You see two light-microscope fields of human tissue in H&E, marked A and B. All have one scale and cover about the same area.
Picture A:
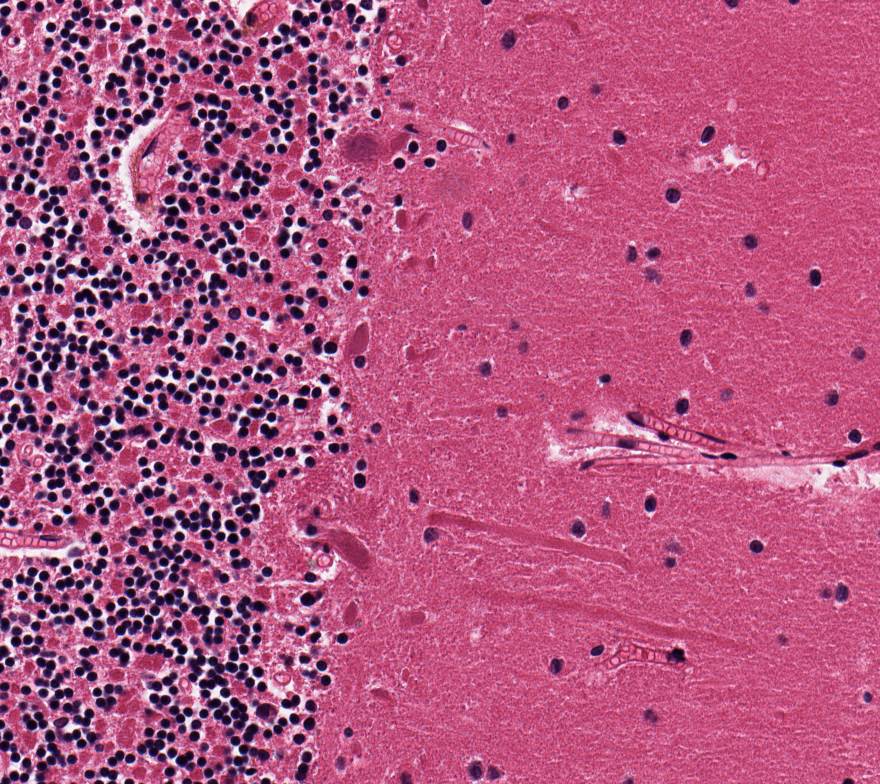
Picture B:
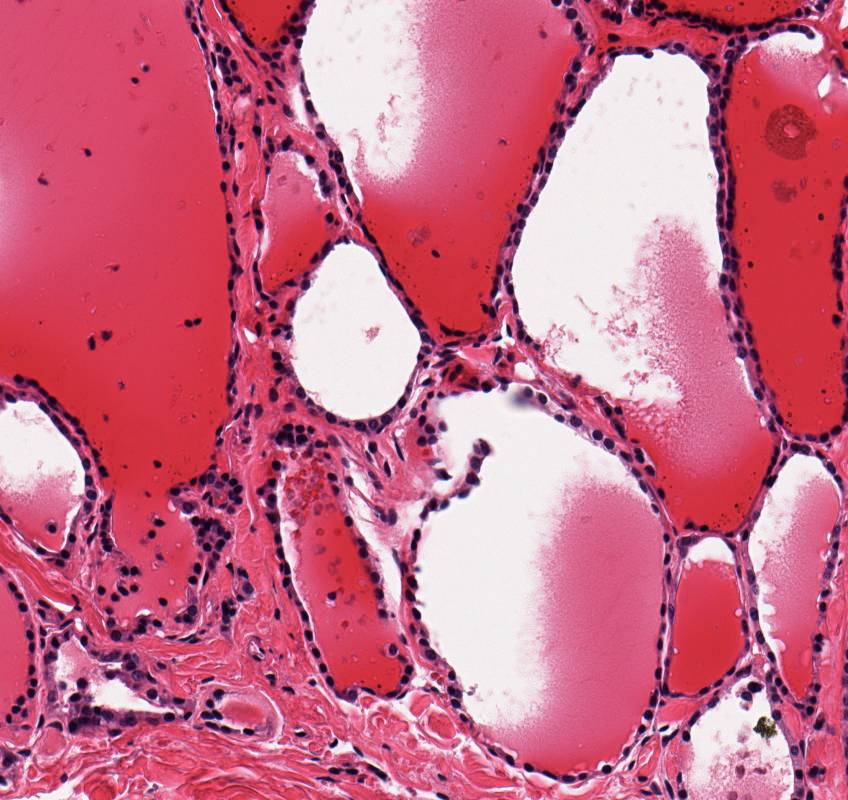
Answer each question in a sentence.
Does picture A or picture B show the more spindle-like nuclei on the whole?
On the whole the nuclei of picture B are more drawn out than those of picture A.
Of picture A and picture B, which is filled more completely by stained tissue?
Unstained space takes up less of picture A than of picture B.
